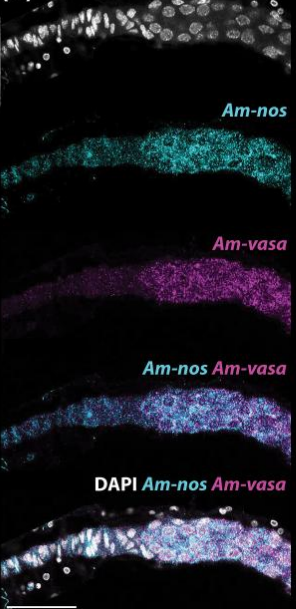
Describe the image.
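The tip of an insect ovariole is shown, with the thin terminal filament at the left running into the germarium at the right. Toward the right the strand widens and the nuclei become larger and rounded, packed several cells deep. Dense cyan and magenta puncta fill the cytoplasm around these rounded nuclei in the germarium and overlap, giving a mixed colour. Small bright nuclei also lie scattered along the edges of the strand.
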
